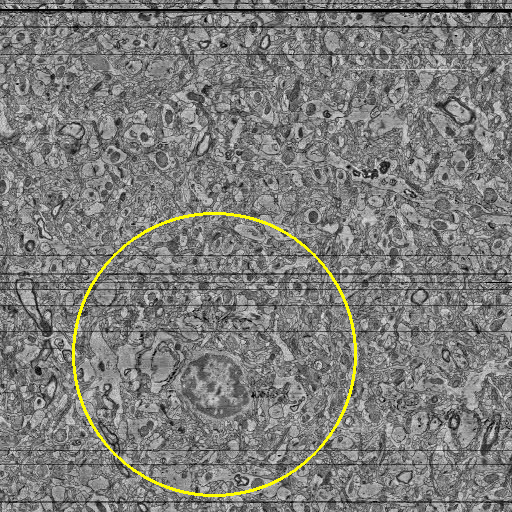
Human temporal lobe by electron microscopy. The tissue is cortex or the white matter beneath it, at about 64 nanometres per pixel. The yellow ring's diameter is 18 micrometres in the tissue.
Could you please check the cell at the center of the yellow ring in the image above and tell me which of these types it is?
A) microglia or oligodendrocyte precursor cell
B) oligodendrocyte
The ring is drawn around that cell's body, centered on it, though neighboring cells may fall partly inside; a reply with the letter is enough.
B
